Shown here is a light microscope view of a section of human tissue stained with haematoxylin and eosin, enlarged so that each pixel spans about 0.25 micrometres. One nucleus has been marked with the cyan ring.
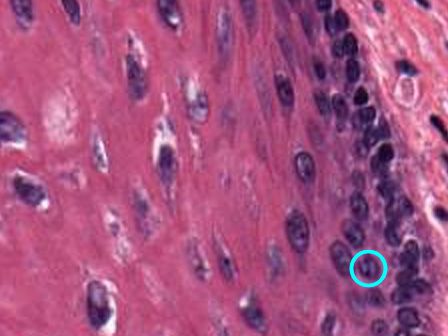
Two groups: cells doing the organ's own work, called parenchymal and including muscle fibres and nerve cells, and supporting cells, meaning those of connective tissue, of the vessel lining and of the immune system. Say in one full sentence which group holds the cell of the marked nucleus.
The marked nucleus, belonging to a parenchymal cell, is that of a squamous epithelial cell.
